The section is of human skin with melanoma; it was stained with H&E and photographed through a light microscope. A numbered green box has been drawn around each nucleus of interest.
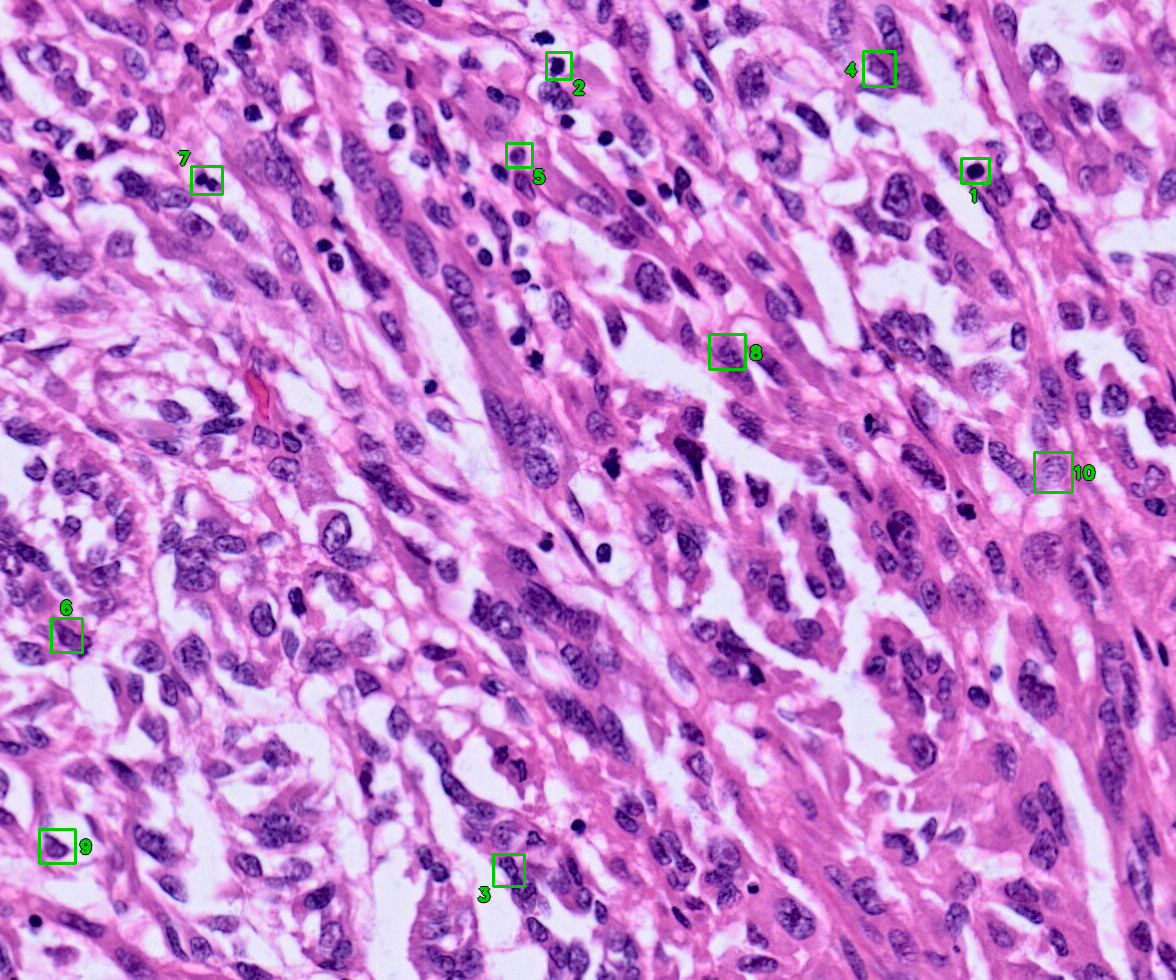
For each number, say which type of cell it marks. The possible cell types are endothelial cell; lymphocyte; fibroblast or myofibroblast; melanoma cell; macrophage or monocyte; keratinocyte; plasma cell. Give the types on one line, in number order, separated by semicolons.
lymphocyte; lymphocyte; melanoma cell; melanoma cell; lymphocyte; melanoma cell; lymphocyte; melanoma cell; melanoma cell; melanoma cell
